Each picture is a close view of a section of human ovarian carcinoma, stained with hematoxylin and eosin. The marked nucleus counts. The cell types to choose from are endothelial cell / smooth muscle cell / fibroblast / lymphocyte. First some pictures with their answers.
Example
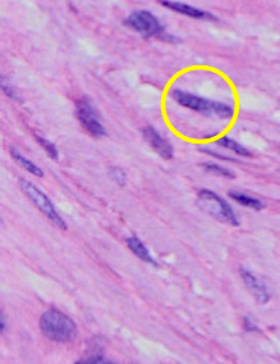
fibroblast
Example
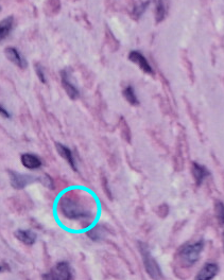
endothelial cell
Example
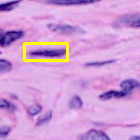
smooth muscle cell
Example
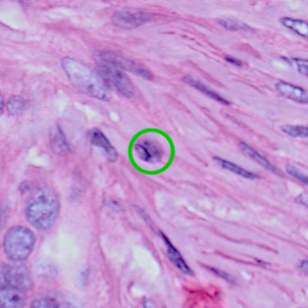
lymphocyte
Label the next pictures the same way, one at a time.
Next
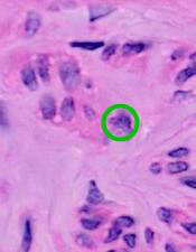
smooth muscle cell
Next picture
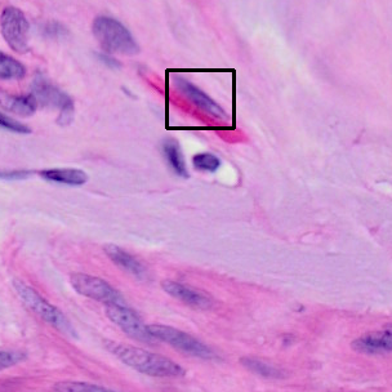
endothelial cell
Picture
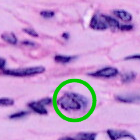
endothelial cell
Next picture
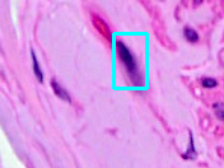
endothelial cell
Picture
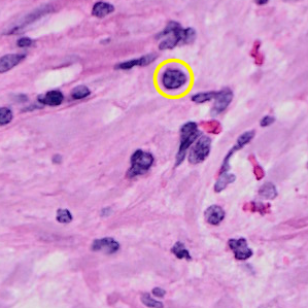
lymphocyte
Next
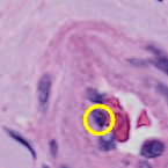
endothelial cell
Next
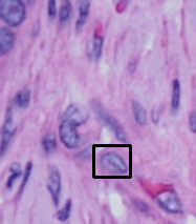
endothelial cell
